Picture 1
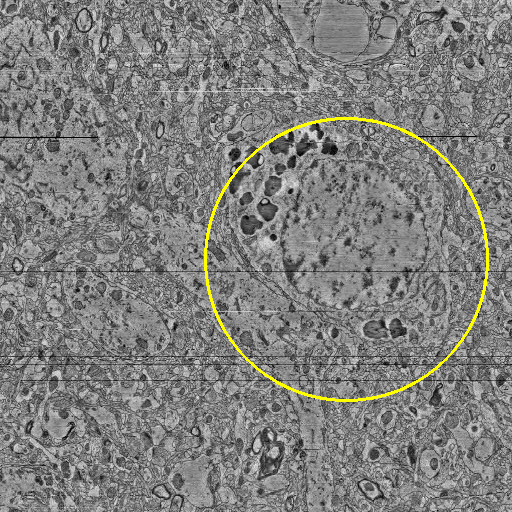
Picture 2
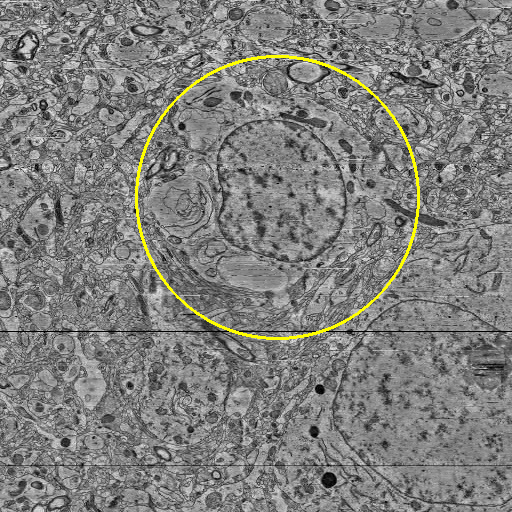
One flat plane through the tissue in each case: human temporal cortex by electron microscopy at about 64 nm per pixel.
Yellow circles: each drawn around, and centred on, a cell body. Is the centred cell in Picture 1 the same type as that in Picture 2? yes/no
no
